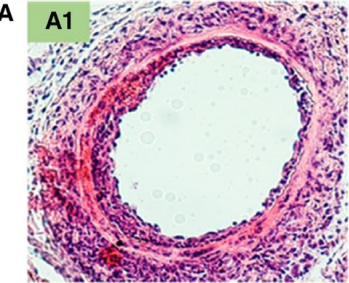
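The wall shows a pink middle layer of concentric wavy bands. Between this pink layer and the lumen lies a thick band of densely packed cells with purple nuclei. Outside the pink layer is loose connective tissue with many scattered nuclei and a red patch at the left.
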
